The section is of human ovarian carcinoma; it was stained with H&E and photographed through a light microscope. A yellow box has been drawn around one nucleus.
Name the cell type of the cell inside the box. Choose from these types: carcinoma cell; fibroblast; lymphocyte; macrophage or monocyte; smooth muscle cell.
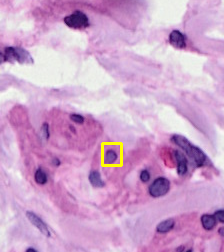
smooth muscle cell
